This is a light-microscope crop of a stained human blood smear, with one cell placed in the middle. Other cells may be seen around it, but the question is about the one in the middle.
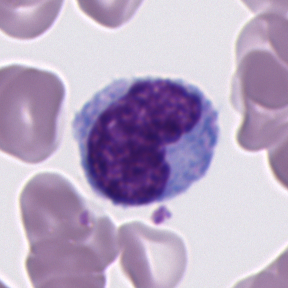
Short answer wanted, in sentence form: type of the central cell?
The middle cell in this particular crop is a monocyte.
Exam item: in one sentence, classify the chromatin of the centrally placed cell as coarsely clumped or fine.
Chromatin in the nucleus here is coarsely clumped.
